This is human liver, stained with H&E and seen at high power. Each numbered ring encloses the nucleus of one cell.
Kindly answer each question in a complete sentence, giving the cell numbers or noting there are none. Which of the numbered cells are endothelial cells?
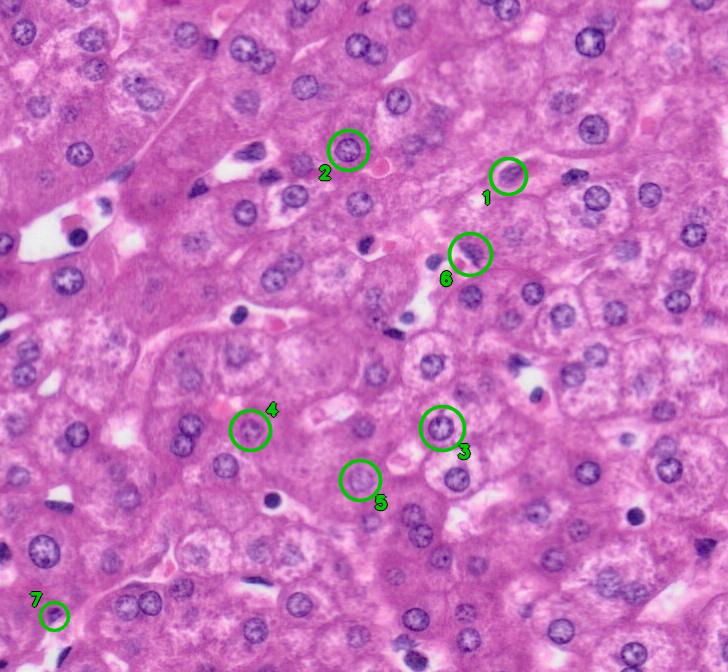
With the exception of cell 6, no marked cell is an endothelial cell.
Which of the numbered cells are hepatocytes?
The cells tagged with numbers 2, 3, 4 and 5 are hepatocytes.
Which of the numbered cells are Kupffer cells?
Among the marked cells, cell number 1 alone is a Kupffer cell.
